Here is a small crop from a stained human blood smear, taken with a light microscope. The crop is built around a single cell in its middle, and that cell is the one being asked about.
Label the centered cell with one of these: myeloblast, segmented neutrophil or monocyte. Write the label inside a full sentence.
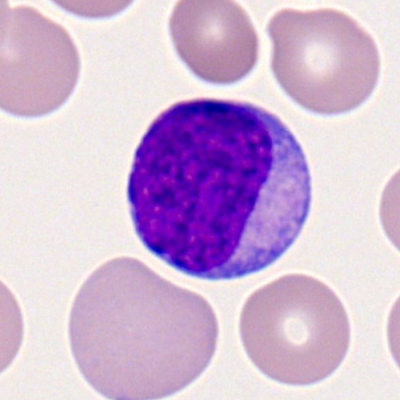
By classification, the middle cell of this crop is a myeloblast.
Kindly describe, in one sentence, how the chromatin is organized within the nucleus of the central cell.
Just so you know, its chromatin is coarsely clumped.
